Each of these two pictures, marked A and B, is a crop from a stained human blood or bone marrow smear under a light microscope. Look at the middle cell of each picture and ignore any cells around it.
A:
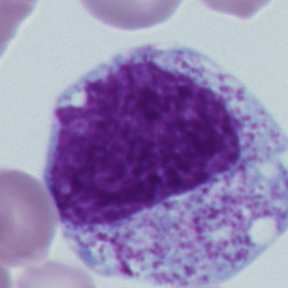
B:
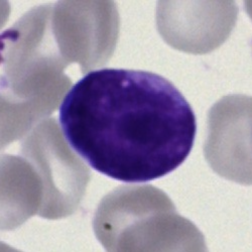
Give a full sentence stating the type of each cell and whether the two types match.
No, the cell of interest in crop A is a myelocyte, and in crop B it is a blast.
